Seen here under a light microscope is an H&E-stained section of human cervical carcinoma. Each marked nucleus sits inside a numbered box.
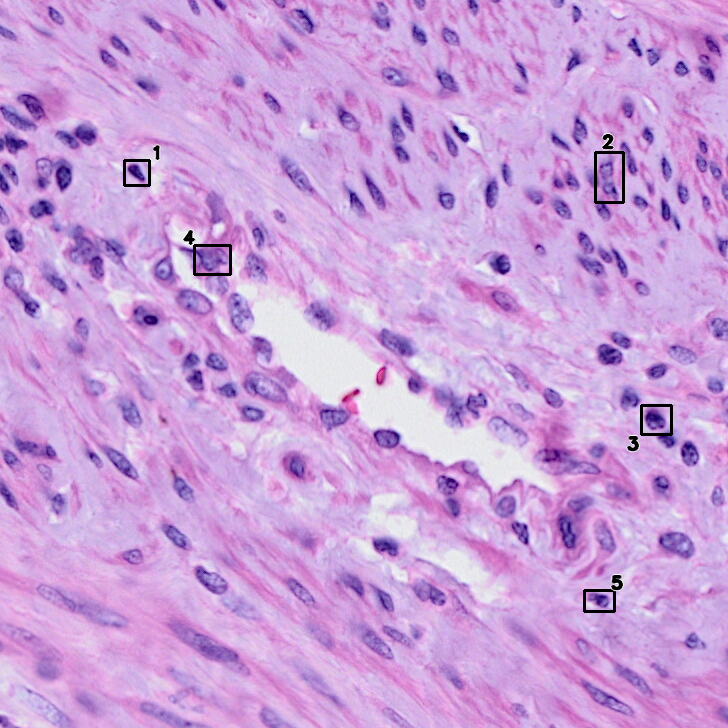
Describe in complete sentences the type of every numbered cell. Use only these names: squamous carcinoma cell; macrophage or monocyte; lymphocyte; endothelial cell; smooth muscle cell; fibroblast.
Cell 1 is a lymphocyte, cell 2 is a smooth muscle cell, cell 3 is a lymphocyte, cell 4 is an endothelial cell and cell 5 is a lymphocyte.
